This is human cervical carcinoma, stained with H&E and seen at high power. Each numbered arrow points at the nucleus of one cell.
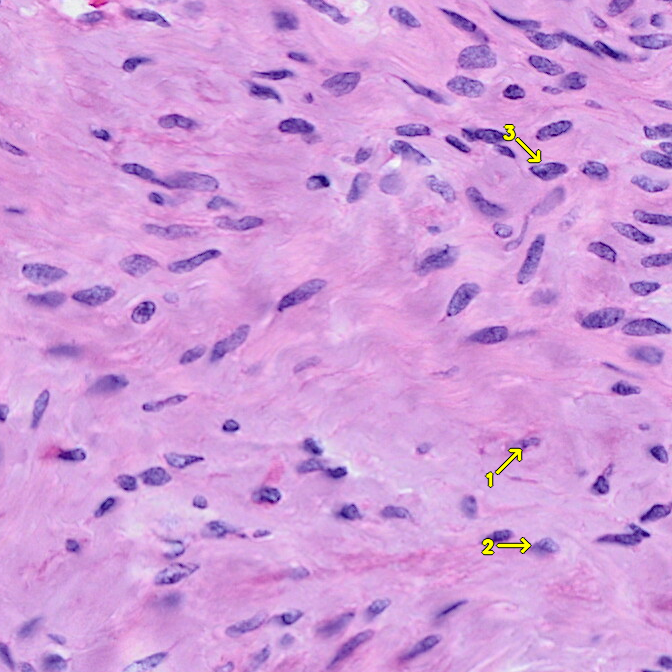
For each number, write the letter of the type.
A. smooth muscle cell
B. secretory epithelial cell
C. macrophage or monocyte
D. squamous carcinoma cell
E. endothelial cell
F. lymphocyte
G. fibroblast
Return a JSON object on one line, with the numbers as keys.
{"1": "A", "2": "G", "3": "G"}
